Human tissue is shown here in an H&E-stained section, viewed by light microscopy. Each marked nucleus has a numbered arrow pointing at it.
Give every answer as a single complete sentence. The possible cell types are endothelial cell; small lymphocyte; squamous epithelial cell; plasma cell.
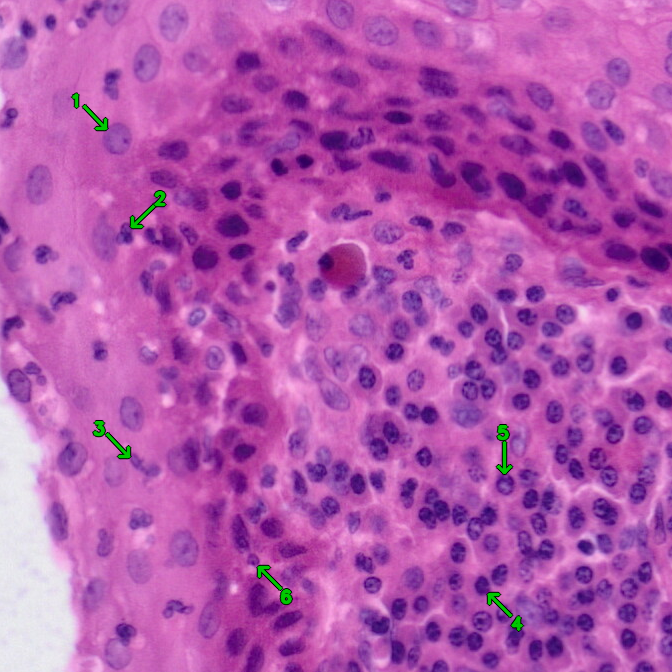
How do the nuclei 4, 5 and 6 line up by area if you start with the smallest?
Smallest first, the nuclei run 6, 4, 5.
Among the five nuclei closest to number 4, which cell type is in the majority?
The majority of the five nuclei closest to number 4 belong to plasma cells.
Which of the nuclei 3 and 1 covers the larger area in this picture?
At about 2.5 times the area of nucleus 3, nucleus 1 is the larger of the two.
